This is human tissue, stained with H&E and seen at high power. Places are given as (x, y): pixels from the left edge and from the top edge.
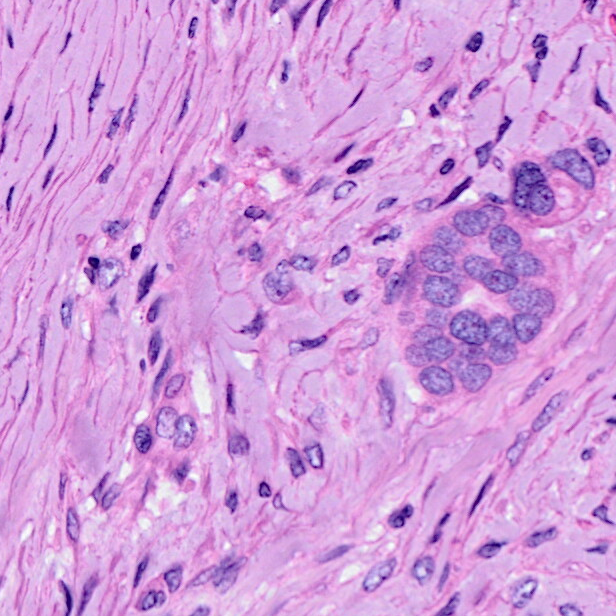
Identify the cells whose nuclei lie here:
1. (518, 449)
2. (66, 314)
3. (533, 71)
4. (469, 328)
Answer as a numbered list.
1. fibroblast
2. fibroblast
3. fibroblast
4. carcinoma cell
